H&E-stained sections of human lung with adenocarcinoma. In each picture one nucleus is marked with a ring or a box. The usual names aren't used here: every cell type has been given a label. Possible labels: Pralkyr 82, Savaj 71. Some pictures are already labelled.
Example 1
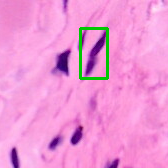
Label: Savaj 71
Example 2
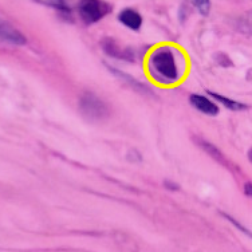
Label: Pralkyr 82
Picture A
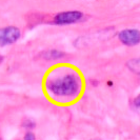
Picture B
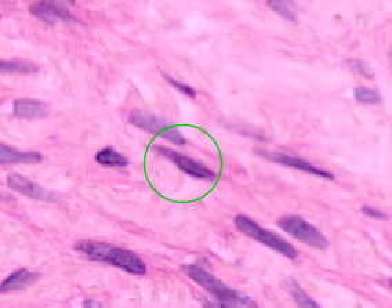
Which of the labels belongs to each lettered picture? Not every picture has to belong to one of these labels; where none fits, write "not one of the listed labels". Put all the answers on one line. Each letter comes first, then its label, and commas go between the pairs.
A Pralkyr 82, B not one of the listed labels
